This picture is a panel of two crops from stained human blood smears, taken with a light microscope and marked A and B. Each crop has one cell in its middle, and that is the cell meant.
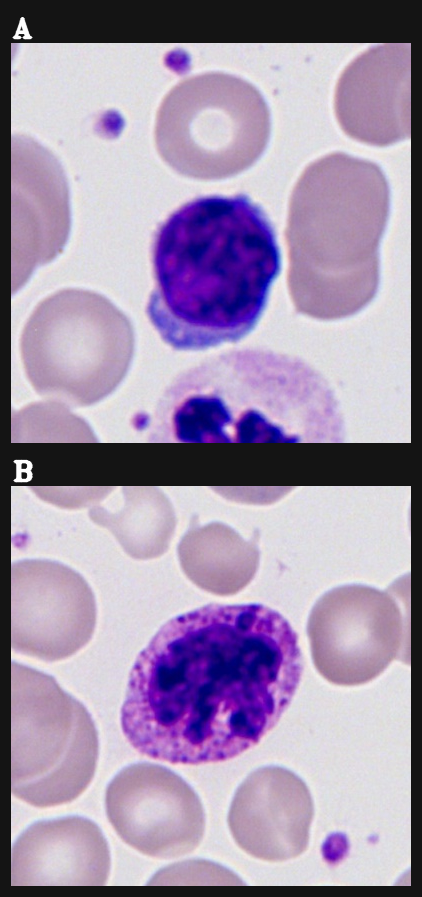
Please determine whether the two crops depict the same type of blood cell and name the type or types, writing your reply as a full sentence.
No, crop A shows a lymphocyte and crop B shows a basophil.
